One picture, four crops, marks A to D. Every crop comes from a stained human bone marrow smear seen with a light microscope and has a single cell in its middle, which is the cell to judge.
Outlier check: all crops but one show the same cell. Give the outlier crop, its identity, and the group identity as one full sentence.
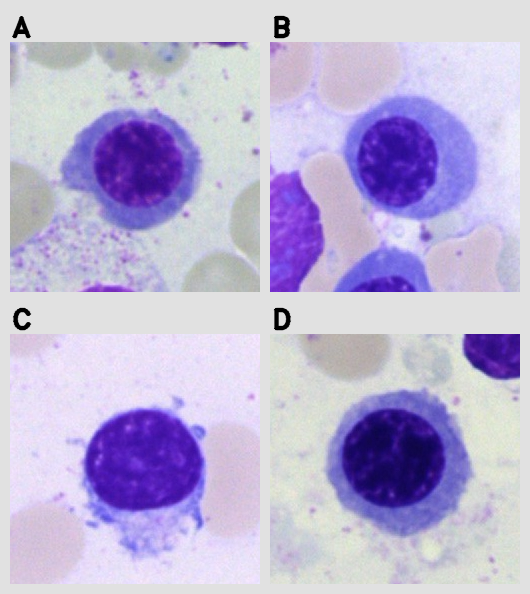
Crop C stands apart as a lymphocyte, whereas the remaining crops all show erythroblasts.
